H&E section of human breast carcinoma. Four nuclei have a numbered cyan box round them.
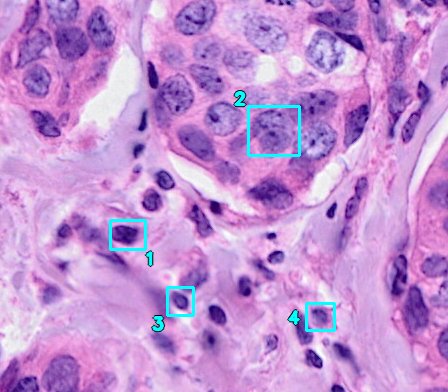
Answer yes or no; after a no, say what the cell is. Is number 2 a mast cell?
No, it is a carcinoma cell.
